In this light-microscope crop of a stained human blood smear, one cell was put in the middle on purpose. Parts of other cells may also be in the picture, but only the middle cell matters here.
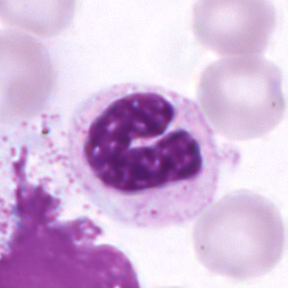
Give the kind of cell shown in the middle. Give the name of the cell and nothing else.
band neutrophil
